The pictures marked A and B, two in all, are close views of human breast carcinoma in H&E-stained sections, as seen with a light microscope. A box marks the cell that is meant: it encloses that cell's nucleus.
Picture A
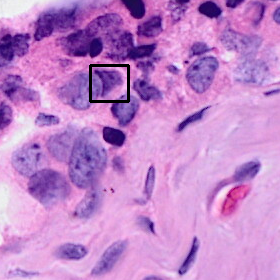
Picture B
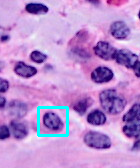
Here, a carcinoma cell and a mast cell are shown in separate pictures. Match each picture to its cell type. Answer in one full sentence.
Picture A is of a carcinoma cell, and picture B is of a mast cell.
